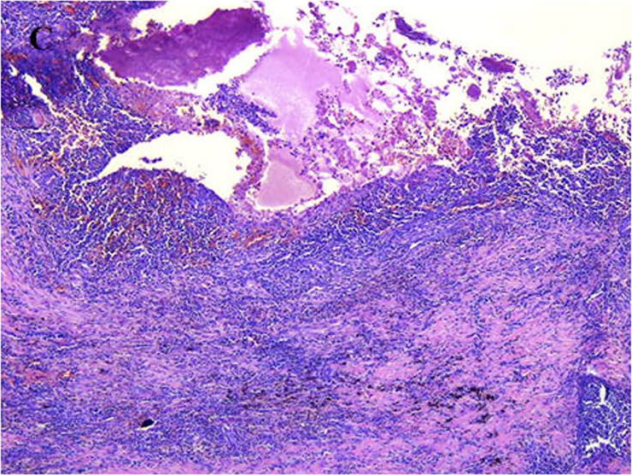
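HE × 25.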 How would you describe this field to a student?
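At the top, an open cavity contains loose pink amorphous material, purple debris and scattered cells, and its lining is ragged with red blood cells. Beneath it, the wall is a broad band of densely packed small dark nuclei mixed with pink fibrous tissue and a few black pigment specks. This is the wall of an abscess cavity with chronic inflammatory cell infiltration and fibrosis.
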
